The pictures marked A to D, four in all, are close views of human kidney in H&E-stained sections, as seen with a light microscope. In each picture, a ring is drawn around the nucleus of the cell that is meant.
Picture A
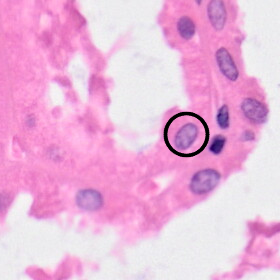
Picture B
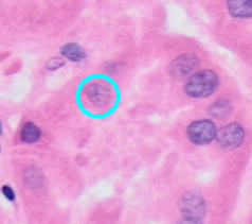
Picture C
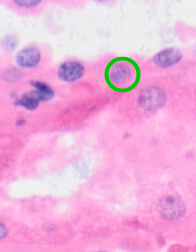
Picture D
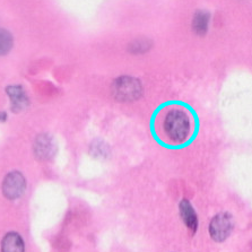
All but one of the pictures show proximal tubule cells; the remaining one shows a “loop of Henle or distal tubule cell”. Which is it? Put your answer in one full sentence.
Picture C is the one that shows the “loop of Henle or distal tubule cell”.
